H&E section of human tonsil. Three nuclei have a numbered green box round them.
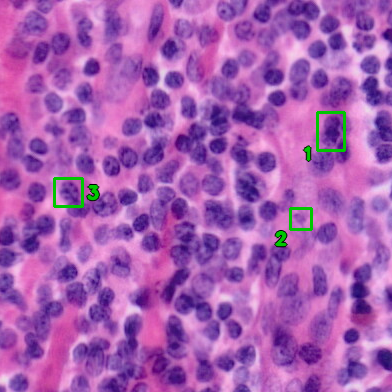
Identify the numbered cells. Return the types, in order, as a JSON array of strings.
["endothelial cell", "endothelial cell", "plasma cell"]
